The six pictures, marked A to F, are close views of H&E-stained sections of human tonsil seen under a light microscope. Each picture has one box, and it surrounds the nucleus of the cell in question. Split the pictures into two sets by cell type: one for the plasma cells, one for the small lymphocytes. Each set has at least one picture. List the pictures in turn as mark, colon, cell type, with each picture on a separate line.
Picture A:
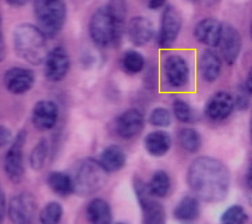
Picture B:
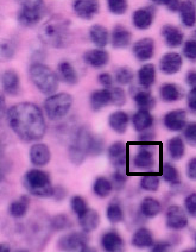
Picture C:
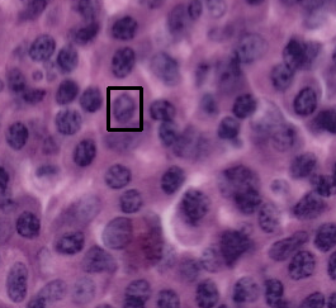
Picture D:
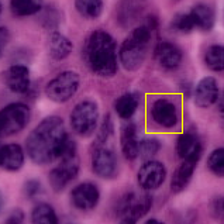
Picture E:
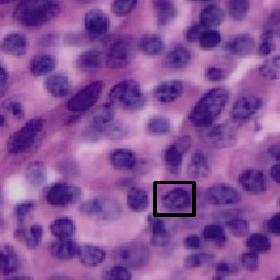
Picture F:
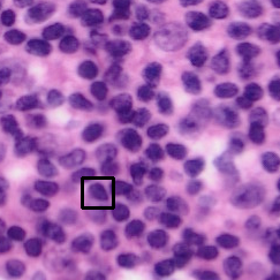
A: plasma cell
B: small lymphocyte
C: plasma cell
D: plasma cell
E: plasma cell
F: small lymphocyte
